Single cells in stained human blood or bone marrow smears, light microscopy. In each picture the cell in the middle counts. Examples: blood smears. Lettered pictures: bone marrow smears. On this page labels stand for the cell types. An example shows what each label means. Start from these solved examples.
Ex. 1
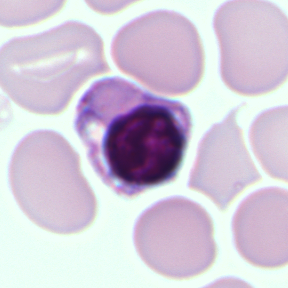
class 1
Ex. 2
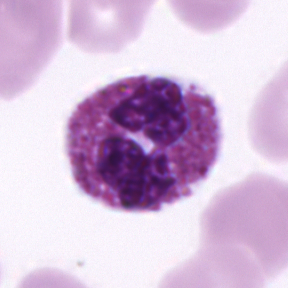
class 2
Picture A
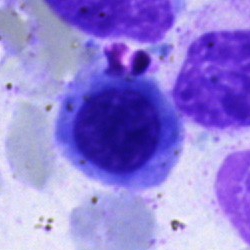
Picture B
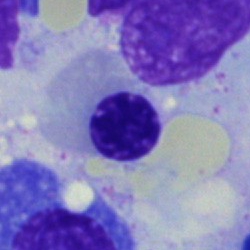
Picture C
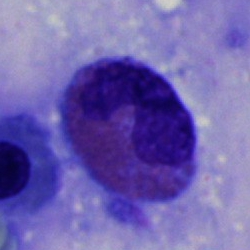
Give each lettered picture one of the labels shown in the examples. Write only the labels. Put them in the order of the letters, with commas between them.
class 1, class 1, class 2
